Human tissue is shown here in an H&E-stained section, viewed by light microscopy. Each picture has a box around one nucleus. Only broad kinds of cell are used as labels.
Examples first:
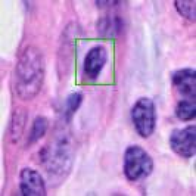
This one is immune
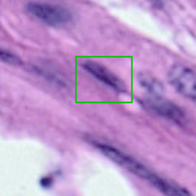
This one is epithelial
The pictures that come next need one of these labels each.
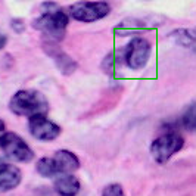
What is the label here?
immune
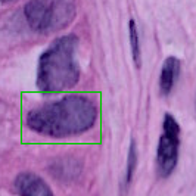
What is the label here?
epithelial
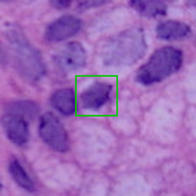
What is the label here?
epithelial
